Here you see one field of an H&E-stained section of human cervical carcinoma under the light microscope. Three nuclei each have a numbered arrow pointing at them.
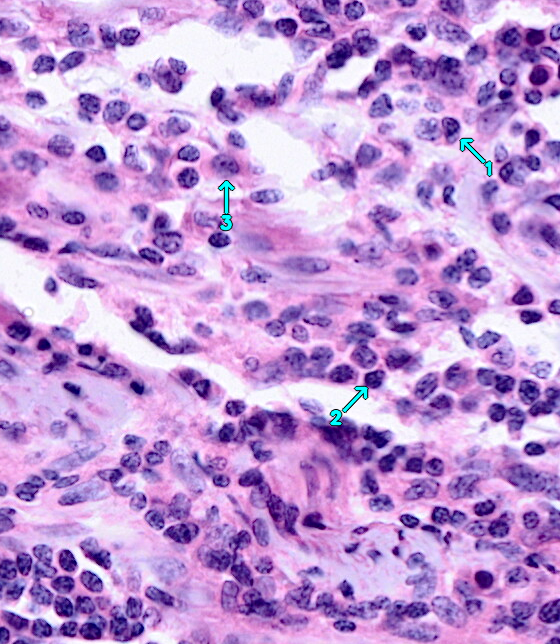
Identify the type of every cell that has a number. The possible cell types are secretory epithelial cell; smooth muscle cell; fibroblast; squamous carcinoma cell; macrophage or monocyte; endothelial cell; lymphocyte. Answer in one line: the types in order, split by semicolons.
lymphocyte; lymphocyte; macrophage or monocyte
